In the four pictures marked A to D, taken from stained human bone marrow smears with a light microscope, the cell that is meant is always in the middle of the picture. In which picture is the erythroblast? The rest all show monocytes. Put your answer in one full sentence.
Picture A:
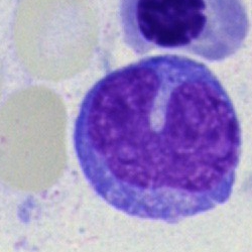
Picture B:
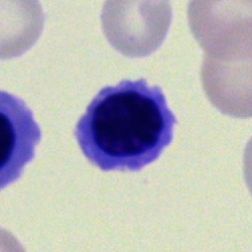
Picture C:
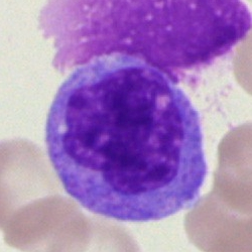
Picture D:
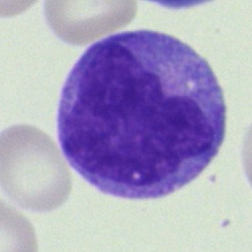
Picture B is the one that shows the erythroblast.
